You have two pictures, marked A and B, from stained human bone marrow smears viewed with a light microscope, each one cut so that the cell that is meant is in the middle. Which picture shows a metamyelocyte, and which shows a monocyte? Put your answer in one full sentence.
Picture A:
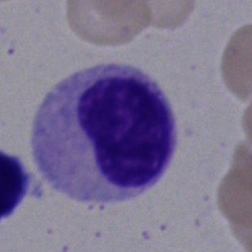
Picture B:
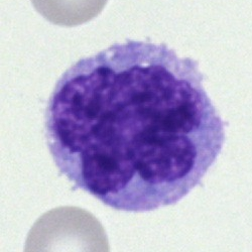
The cell in picture A is a metamyelocyte, and the one in picture B is a monocyte.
